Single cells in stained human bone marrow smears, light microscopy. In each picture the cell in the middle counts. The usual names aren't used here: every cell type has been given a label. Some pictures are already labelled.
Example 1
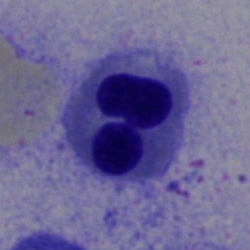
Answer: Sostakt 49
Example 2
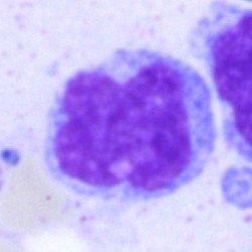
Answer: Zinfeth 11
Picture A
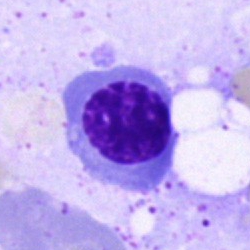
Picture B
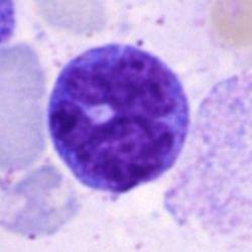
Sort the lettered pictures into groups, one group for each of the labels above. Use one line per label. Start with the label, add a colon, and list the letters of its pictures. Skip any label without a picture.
Sostakt 49: A
Zinfeth 11: B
